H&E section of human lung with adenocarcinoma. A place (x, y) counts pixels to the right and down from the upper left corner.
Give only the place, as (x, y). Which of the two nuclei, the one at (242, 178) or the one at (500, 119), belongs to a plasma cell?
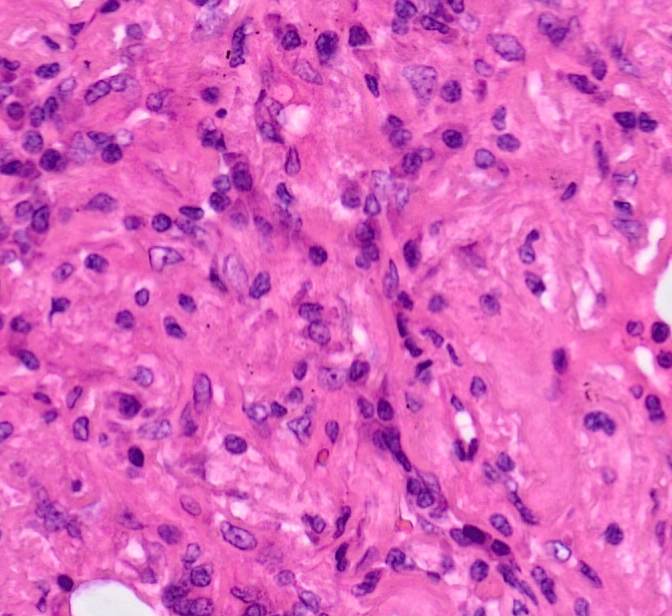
(242, 178)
